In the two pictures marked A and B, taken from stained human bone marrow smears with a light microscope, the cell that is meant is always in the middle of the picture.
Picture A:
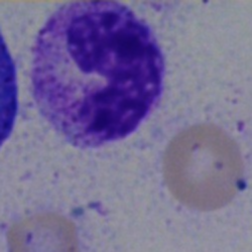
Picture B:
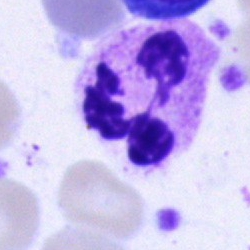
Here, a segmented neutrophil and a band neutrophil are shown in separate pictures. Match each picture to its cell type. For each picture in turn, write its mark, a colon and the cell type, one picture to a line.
A: band neutrophil
B: segmented neutrophil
